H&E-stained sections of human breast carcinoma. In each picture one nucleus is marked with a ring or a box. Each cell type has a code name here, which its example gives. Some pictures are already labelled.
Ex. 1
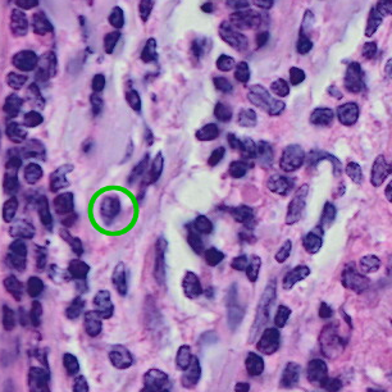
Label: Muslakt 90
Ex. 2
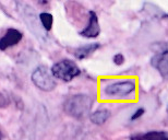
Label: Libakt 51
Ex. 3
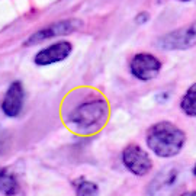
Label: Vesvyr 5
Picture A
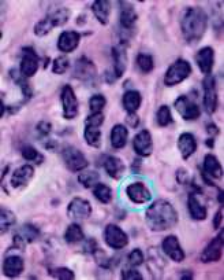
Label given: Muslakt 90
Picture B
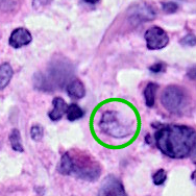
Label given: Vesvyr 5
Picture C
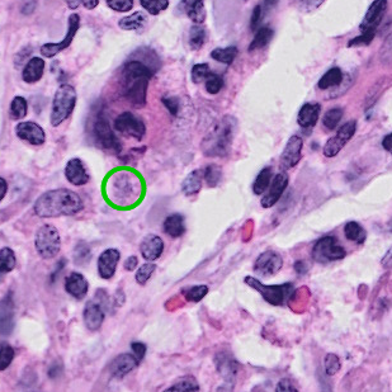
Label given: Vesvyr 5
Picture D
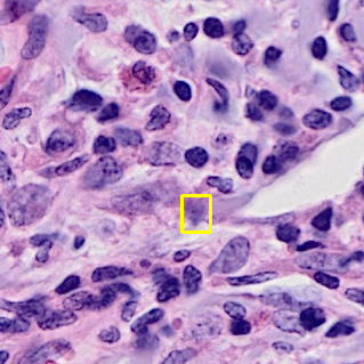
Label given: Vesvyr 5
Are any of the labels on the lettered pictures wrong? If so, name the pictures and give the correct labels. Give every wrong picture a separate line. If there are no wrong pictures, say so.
Nothing to fix; every label fits.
